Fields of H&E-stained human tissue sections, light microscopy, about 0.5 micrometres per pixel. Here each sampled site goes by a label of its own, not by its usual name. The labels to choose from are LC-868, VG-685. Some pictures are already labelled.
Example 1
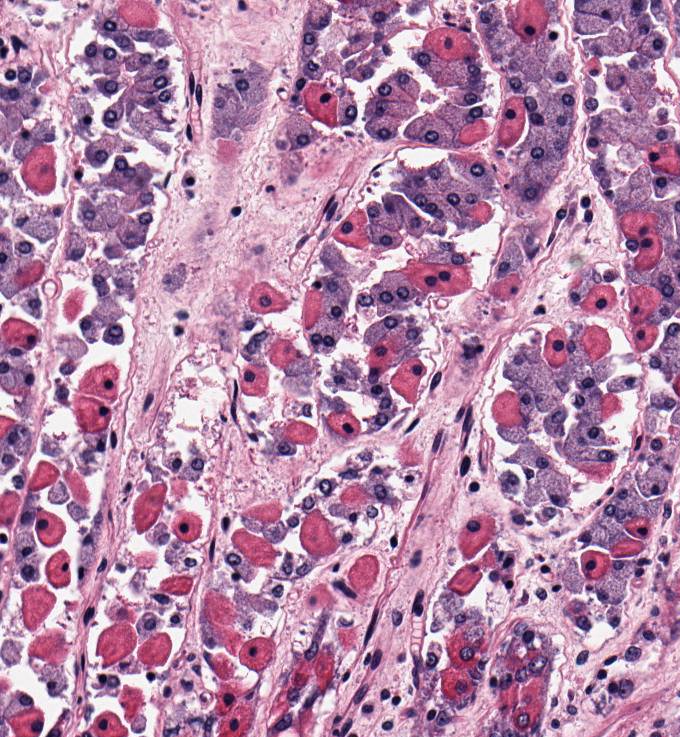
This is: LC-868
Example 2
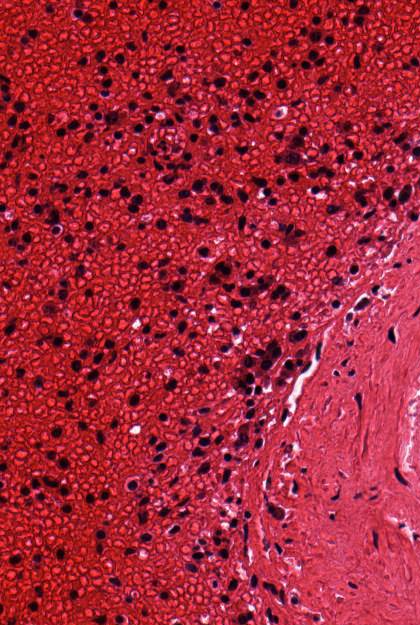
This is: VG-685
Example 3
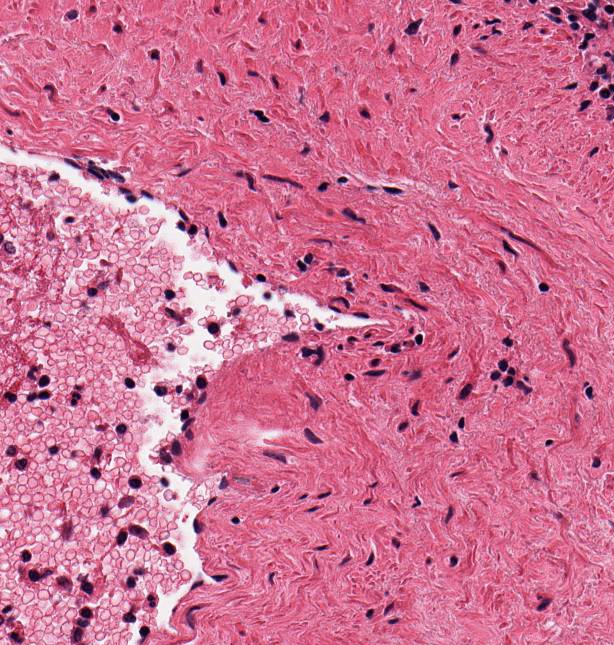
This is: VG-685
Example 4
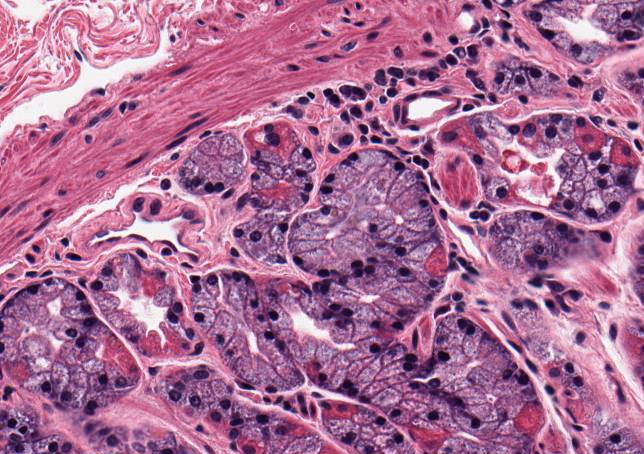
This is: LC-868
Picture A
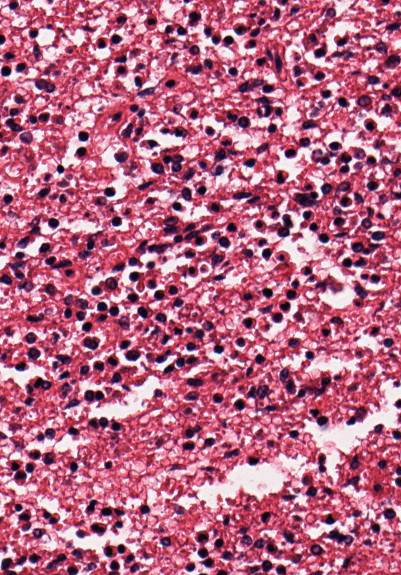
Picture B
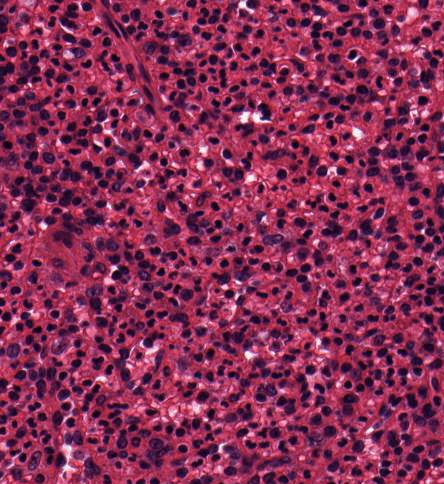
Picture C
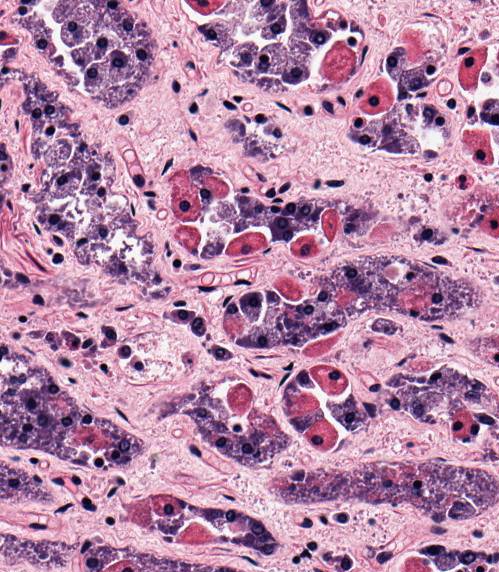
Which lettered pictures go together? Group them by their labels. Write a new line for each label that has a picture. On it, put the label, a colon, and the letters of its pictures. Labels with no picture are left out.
LC-868: C
VG-685: A, B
